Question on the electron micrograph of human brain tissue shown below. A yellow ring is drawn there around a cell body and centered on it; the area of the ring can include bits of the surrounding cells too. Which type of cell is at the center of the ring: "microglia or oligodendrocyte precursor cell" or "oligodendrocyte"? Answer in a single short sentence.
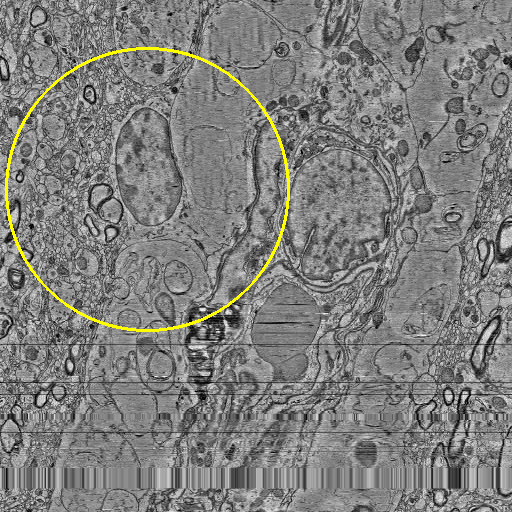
The ring is centered on a microglial cell or oligodendrocyte precursor cell.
